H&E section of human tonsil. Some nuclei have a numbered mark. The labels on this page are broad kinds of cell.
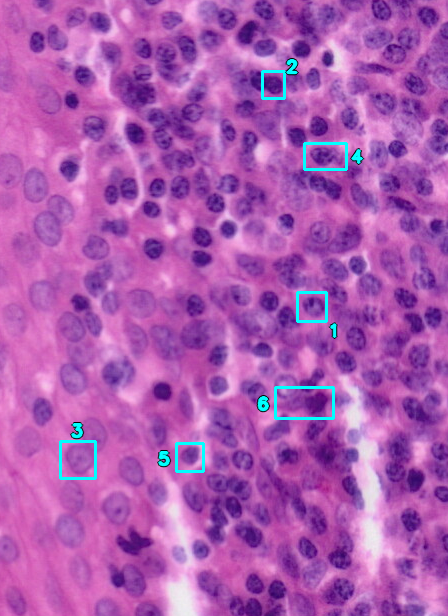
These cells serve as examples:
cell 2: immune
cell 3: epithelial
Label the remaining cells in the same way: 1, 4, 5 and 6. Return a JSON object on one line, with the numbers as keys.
{"1": "immune", "4": "immune", "5": "epithelial", "6": "epithelial"}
